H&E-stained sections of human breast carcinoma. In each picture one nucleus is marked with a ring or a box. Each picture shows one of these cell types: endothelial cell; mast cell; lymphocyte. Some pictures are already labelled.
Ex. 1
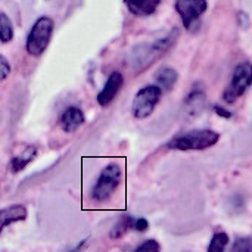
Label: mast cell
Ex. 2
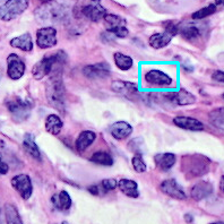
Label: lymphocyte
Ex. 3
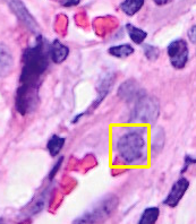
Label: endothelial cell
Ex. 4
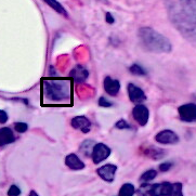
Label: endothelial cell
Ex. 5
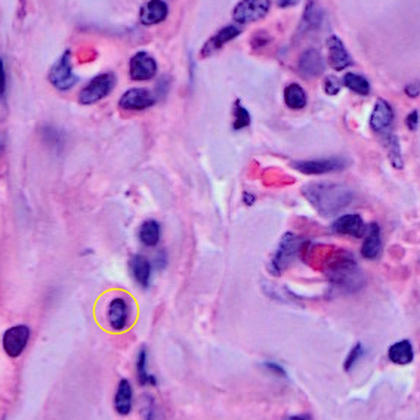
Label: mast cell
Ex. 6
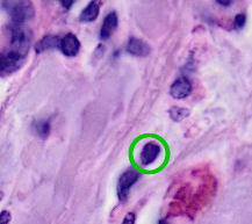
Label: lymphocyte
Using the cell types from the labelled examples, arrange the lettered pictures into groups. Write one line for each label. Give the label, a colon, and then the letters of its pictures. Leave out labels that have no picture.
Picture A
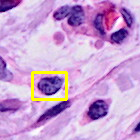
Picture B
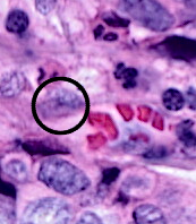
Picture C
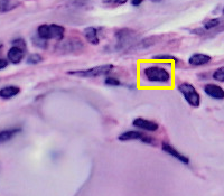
endothelial cell: B
mast cell: A
lymphocyte: C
